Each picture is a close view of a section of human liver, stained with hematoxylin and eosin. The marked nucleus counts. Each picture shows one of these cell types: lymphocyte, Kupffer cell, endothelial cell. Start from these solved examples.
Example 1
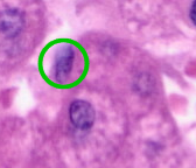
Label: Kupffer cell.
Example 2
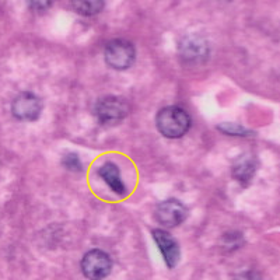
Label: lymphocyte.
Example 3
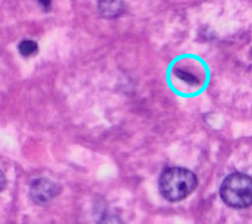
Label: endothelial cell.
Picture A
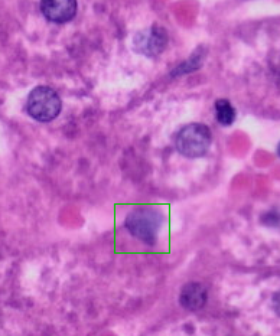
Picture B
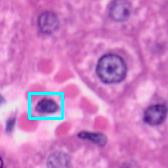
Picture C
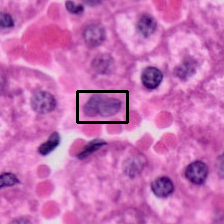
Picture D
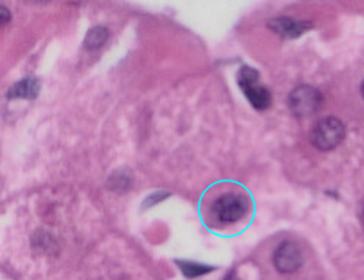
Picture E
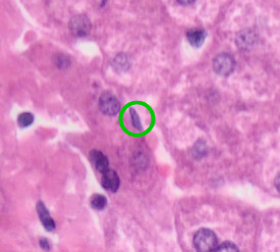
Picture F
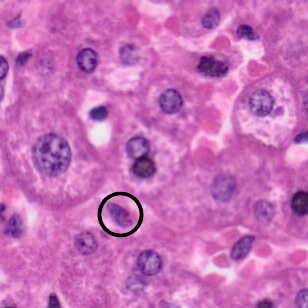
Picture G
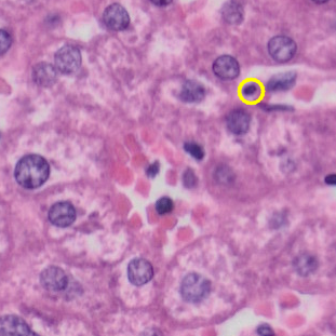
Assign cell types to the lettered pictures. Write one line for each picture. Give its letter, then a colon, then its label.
A: endothelial cell.
B: lymphocyte.
C: Kupffer cell.
D: Kupffer cell.
E: endothelial cell.
F: Kupffer cell.
G: lymphocyte.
